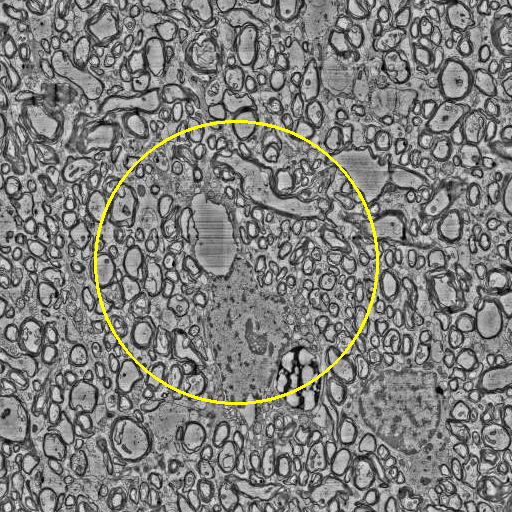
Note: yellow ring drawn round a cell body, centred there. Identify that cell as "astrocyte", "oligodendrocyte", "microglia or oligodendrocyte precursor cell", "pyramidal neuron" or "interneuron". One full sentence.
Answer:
The cell in the middle of the ring is an astrocyte.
